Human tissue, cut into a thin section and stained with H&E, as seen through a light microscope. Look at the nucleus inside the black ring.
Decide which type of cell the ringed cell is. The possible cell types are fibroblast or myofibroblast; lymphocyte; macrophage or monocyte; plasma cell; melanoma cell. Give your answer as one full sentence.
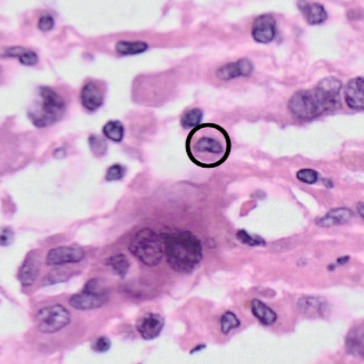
In the tissue at hand, the ringed cell is a macrophage or monocyte.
